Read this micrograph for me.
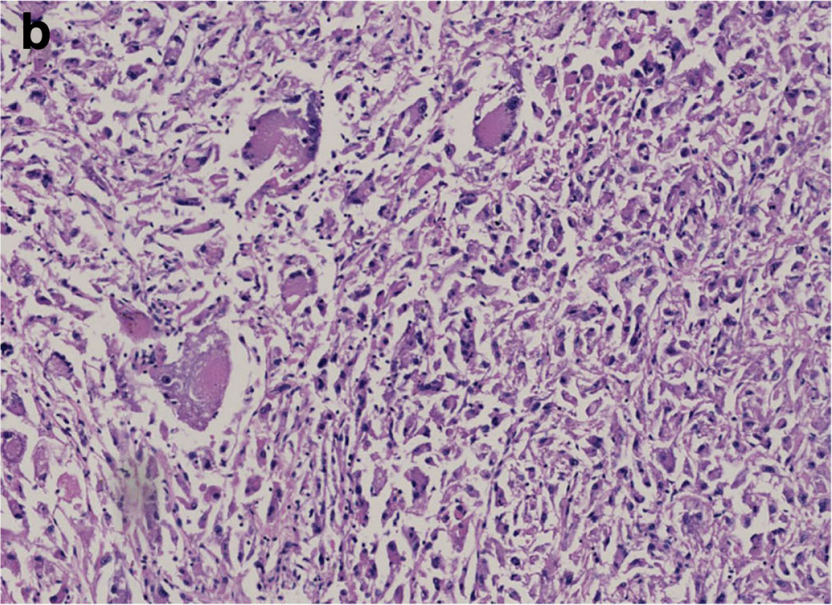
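This is a densely cellular tumor made of cells with abundant pink cytoplasm, quite unlike fat. The cells vary greatly in size and shape, from elongated forms to plump polygonal ones, with dark, irregular nuclei. Scattered among them are much larger cells with broad pink cytoplasm, some containing several nuclei, which are the pleomorphic multinucleated giant cells. Small clefts of pale space separate the cells and give the field a loose, disorderly pattern.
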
